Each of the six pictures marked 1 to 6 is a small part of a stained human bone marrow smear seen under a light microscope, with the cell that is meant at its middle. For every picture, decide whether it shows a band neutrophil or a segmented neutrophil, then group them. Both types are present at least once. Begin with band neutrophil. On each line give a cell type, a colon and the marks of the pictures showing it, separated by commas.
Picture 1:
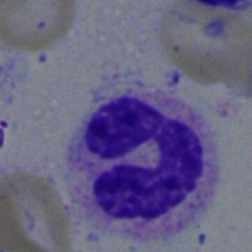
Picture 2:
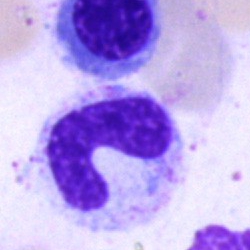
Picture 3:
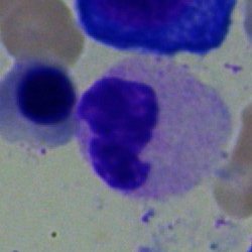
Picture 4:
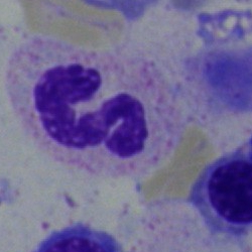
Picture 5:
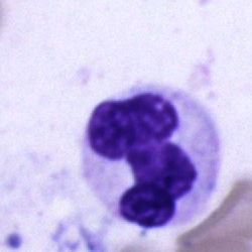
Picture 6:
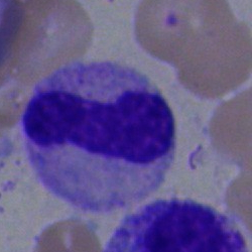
band neutrophil: 1, 2, 3, 6
segmented neutrophil: 4, 5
